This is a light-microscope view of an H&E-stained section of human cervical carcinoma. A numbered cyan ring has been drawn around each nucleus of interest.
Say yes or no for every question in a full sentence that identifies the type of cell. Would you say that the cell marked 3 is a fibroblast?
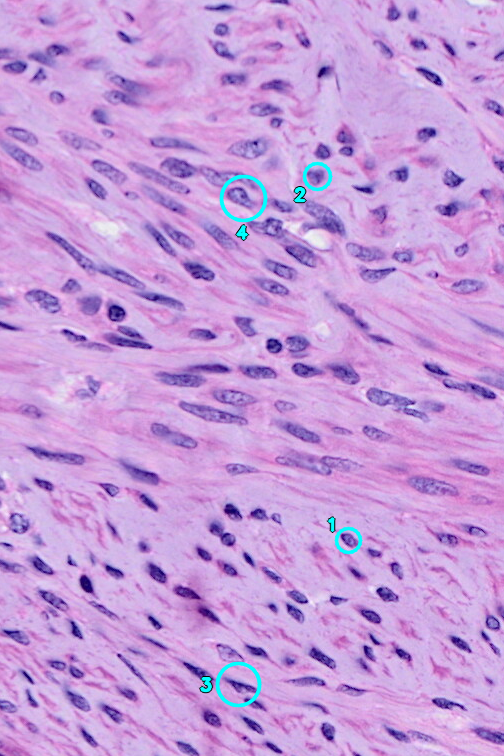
Yes, on this slide, the cell with number 3 is a fibroblast.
